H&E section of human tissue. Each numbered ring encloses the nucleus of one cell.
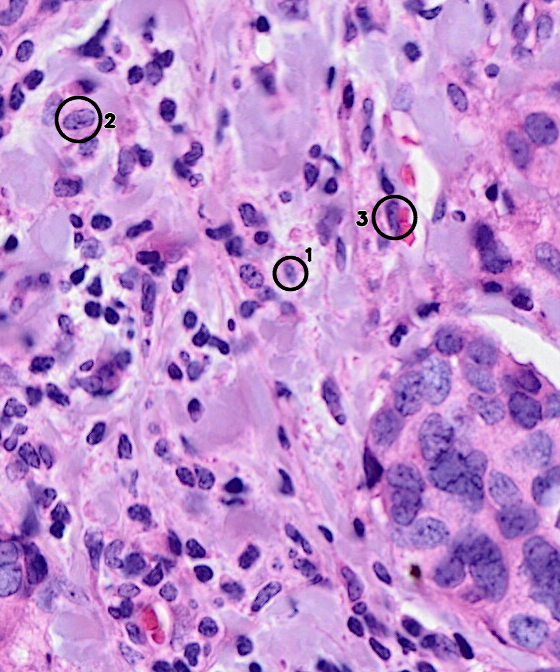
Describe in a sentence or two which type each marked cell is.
Cells 1 and 2 are mast cells. Cell 3 is an endothelial cell.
